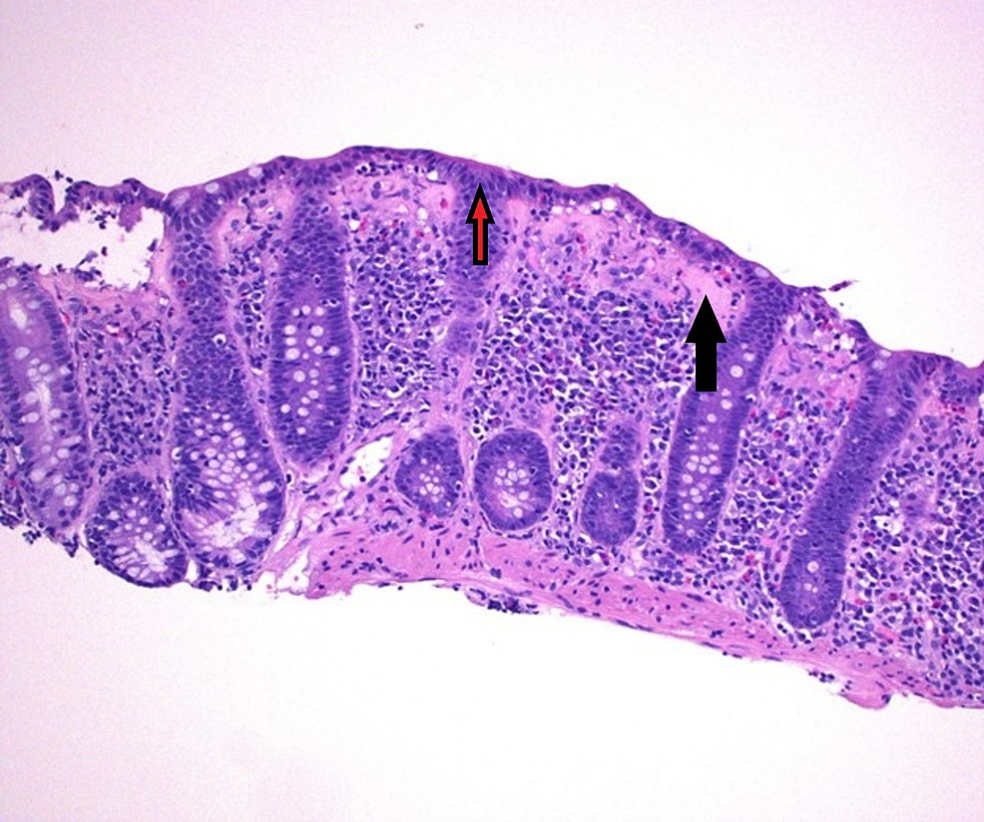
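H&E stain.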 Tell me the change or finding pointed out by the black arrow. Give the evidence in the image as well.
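Thickening of sub-epithelial basement membrane. A broad, pale pink, glassy band lies directly beneath the surface epithelium. The band is much wider than the thin line beneath the crypt epithelium. Capillaries and cells appear caught within the pink band.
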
